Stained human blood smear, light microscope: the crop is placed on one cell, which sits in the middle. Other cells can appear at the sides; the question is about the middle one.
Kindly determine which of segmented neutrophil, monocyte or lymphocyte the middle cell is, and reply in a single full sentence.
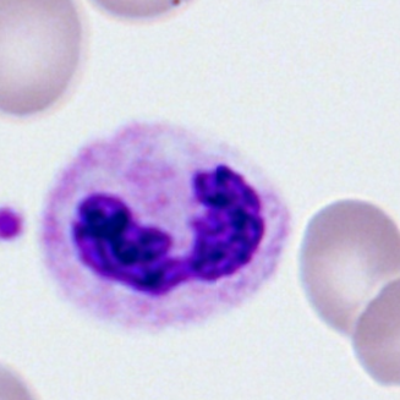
The central cell shown in this smear crop is a segmented neutrophil.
